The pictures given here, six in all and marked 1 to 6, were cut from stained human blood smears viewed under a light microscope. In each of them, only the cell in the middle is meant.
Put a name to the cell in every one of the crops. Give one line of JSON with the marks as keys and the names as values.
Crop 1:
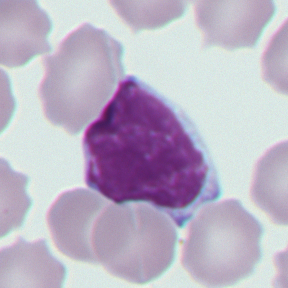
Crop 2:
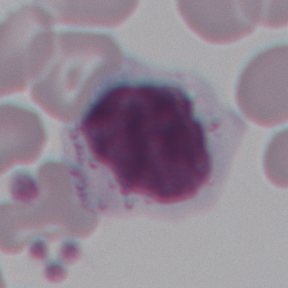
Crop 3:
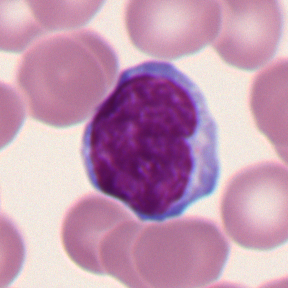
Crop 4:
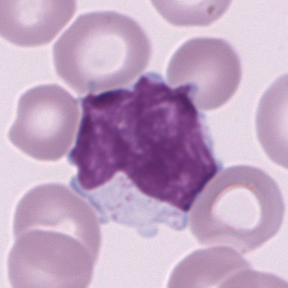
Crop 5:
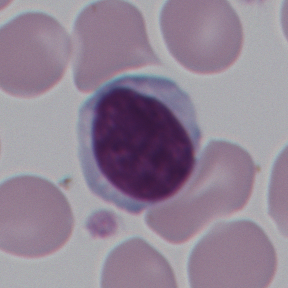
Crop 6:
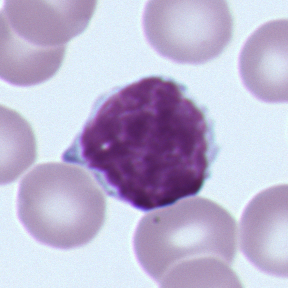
{"1": "typical lymphocyte", "2": "large granular lymphocyte", "3": "typical lymphocyte", "4": "large granular lymphocyte", "5": "typical lymphocyte", "6": "typical lymphocyte"}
